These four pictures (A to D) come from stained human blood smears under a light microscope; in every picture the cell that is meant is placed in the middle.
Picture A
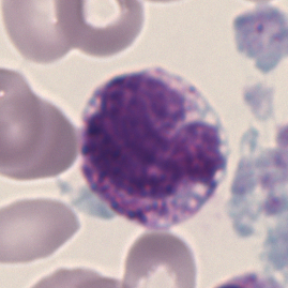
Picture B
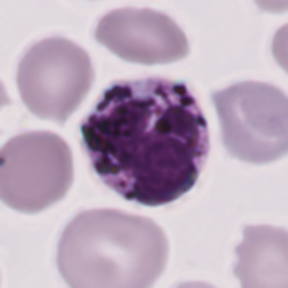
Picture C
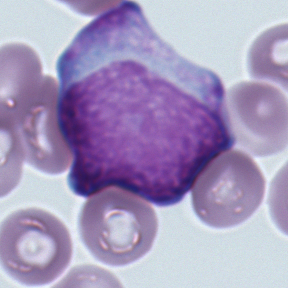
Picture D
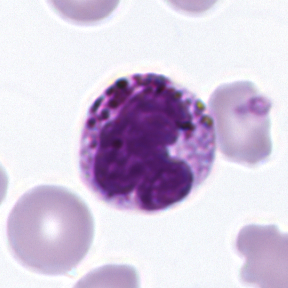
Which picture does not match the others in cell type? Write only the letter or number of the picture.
C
